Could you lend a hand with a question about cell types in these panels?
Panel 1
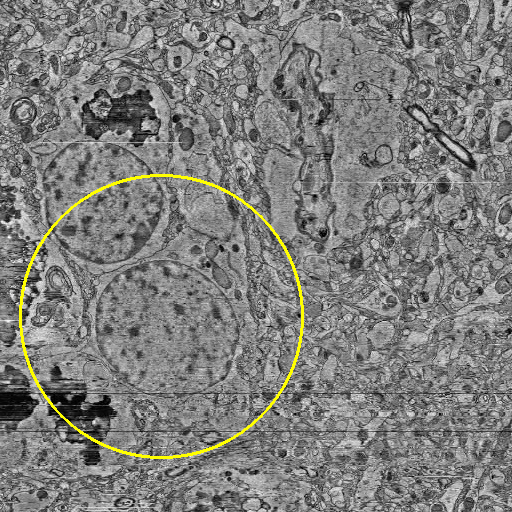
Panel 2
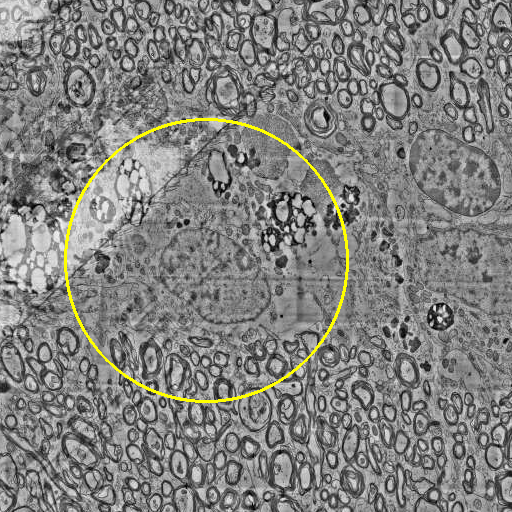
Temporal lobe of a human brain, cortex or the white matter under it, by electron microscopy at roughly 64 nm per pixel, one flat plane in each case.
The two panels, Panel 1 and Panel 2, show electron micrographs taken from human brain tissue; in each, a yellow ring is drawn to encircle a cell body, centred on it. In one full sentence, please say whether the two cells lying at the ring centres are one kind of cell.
Yes, the cells at the ring centres in the two panels are one kind of cell.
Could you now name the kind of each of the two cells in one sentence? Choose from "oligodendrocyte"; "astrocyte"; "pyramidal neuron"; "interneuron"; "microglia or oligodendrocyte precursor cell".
Each of the two rings surrounds an astrocyte.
